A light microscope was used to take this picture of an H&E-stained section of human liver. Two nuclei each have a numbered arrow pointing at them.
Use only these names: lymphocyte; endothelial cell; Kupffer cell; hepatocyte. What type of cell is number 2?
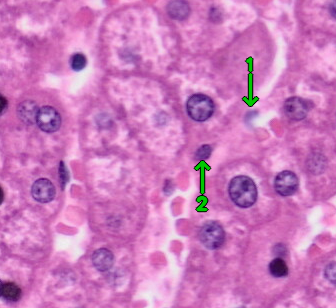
lymphocyte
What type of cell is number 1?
endothelial cell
